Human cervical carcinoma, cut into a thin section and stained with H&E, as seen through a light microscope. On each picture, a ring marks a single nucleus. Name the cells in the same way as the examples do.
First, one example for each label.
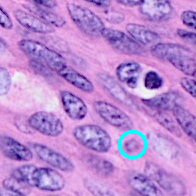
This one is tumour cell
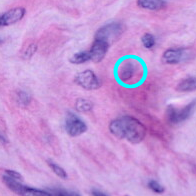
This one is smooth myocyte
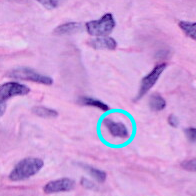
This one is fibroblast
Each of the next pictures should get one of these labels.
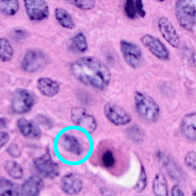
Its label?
tumour cell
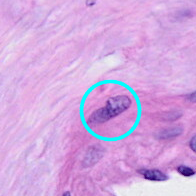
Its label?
smooth myocyte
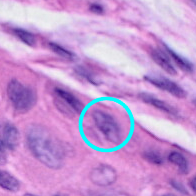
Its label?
tumour cell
